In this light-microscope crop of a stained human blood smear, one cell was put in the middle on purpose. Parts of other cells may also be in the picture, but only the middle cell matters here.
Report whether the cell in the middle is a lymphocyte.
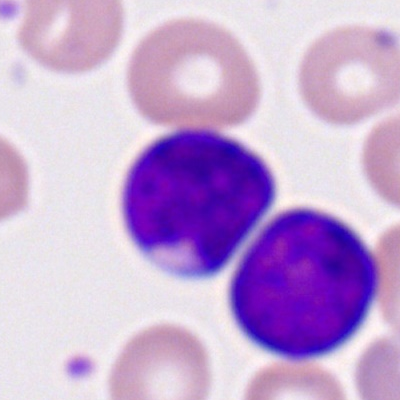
no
